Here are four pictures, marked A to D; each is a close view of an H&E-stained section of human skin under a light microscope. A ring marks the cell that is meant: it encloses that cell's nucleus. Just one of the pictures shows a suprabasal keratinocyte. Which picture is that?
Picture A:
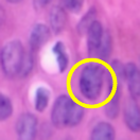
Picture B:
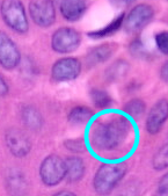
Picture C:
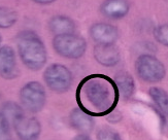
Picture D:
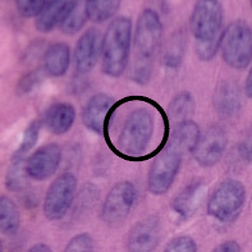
D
